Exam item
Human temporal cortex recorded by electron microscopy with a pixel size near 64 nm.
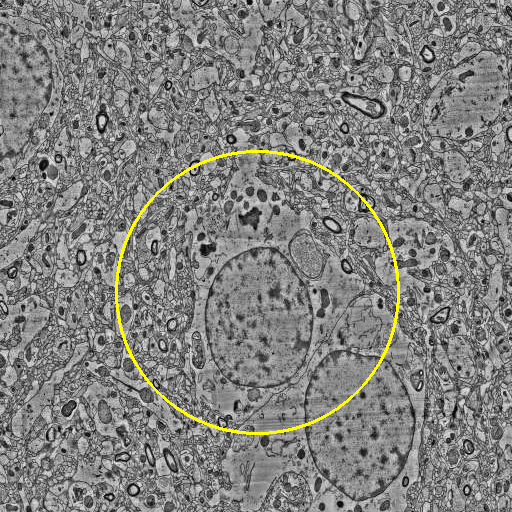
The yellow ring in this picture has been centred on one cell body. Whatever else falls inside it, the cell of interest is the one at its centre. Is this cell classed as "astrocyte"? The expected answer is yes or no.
yes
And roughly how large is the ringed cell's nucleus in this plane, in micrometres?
Roughly 9 micrometres by 7 micrometres, in this plane.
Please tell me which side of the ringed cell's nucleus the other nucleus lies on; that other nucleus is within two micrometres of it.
The other one is to the lower right of it.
